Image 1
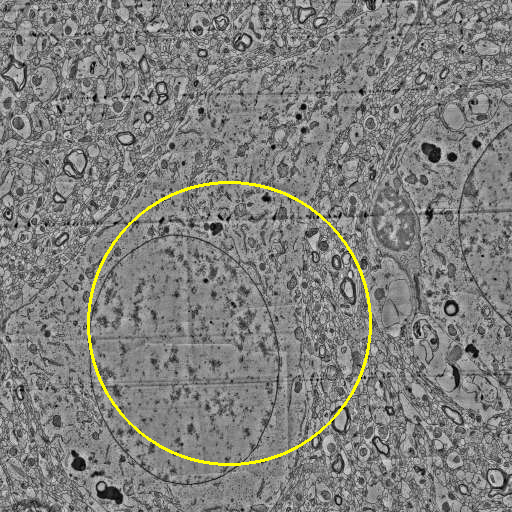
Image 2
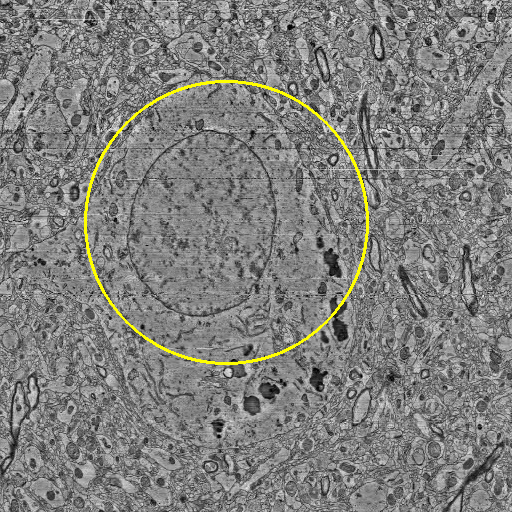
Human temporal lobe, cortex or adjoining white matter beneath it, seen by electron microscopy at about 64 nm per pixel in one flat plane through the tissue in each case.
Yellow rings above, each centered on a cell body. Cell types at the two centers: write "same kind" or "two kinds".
same kind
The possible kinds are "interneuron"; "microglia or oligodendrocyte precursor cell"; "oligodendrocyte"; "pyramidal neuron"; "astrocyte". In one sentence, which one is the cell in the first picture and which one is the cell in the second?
Both the first and the second picture show a pyramidal neuron in the ring.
